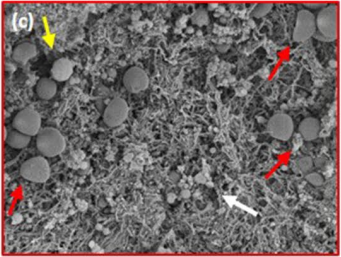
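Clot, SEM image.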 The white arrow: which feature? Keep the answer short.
Fibrin/platelet structures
